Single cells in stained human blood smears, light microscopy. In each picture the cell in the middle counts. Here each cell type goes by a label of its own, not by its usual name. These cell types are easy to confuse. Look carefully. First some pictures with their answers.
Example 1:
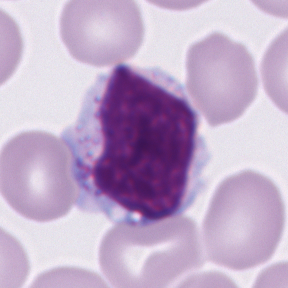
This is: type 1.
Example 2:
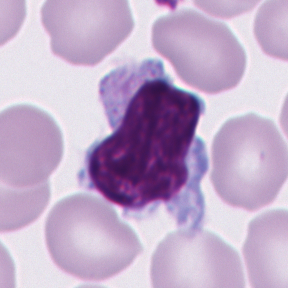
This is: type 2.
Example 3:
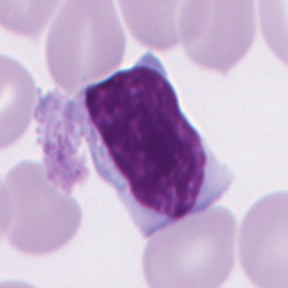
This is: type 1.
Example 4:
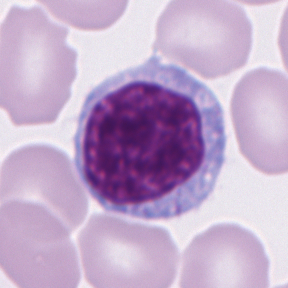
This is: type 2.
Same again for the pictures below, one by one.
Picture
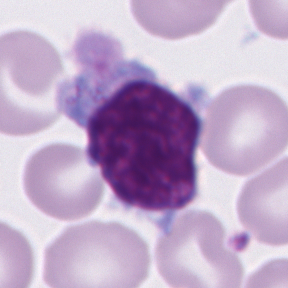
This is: type 2.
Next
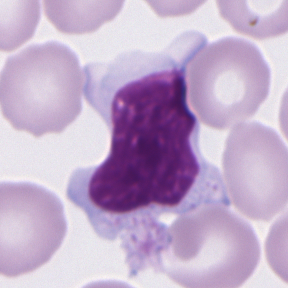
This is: type 1.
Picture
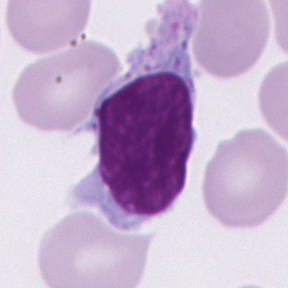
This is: type 1.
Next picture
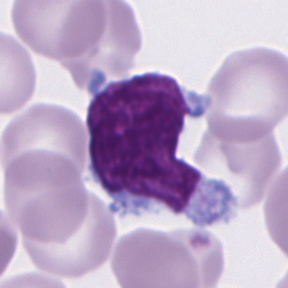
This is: type 2.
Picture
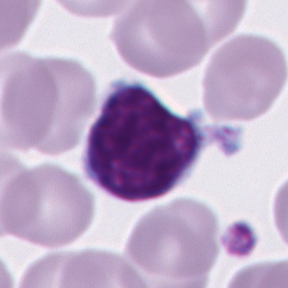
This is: type 2.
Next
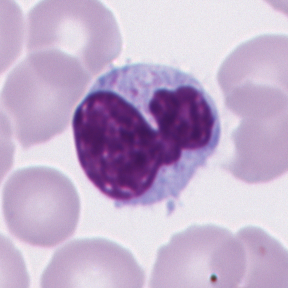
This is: type 1.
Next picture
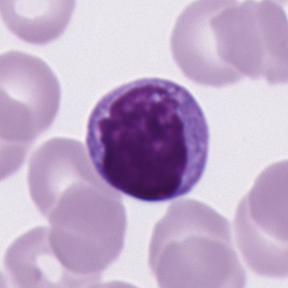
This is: type 2.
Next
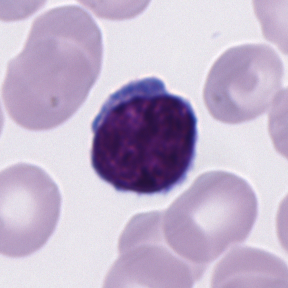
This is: type 2.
